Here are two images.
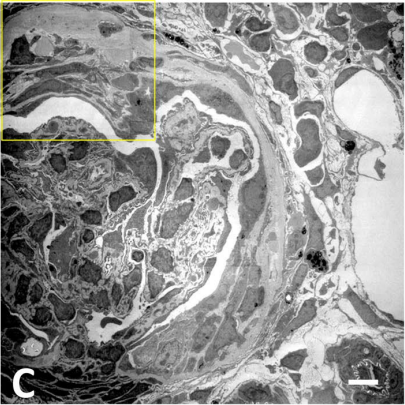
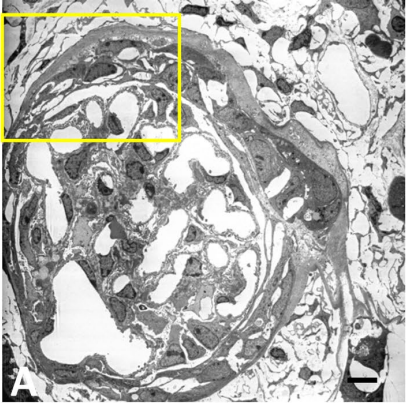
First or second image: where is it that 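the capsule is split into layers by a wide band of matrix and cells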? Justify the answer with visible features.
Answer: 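The first image. First image: the capsule is a very wide layered band with matrix and many cells between its layers. Second image: the capsule is a thickened but more compact band around the tuft.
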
